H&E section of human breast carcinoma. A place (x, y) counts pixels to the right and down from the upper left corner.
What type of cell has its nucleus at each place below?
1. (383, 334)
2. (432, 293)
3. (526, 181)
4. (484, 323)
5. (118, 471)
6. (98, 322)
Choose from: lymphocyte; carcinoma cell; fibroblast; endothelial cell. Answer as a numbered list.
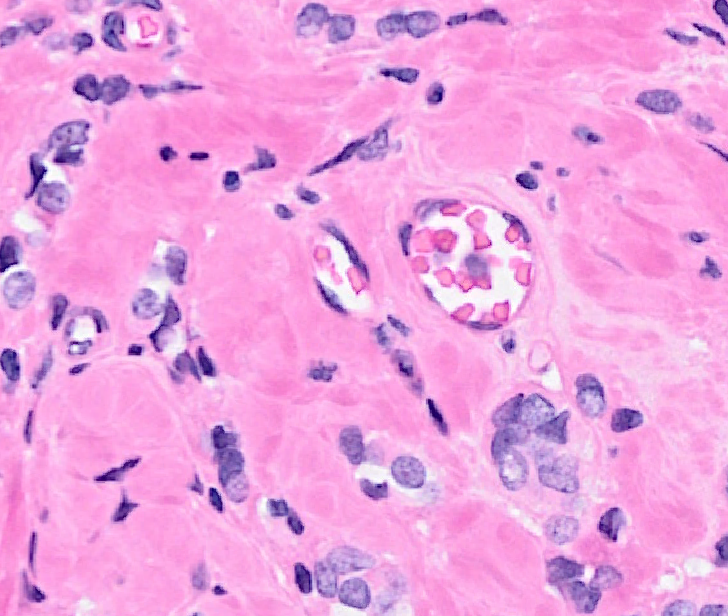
1. endothelial cell
2. endothelial cell
3. lymphocyte
4. endothelial cell
5. fibroblast
6. endothelial cell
